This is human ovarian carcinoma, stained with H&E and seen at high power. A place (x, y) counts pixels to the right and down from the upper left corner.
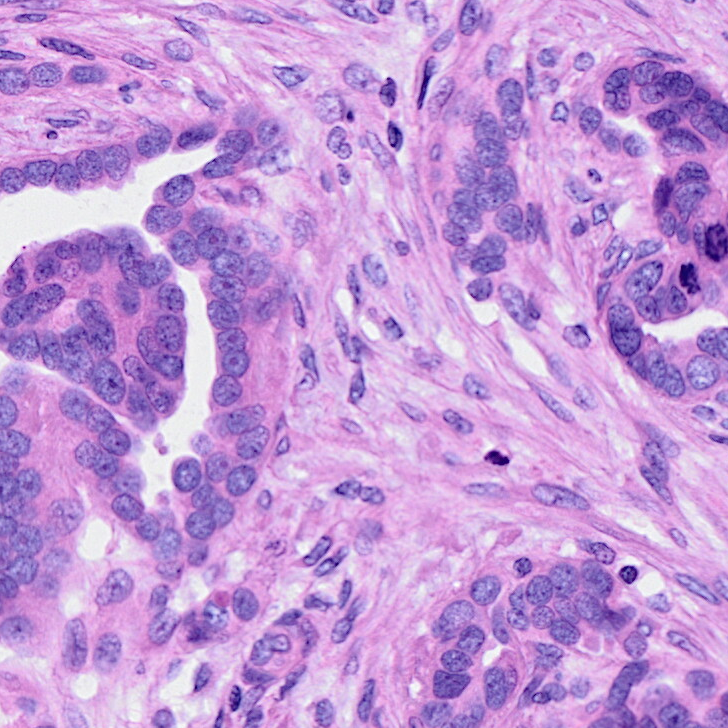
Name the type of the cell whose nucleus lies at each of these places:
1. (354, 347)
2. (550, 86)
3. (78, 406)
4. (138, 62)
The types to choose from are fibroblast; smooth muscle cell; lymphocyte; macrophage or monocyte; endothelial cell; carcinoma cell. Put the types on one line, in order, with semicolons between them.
fibroblast; fibroblast; carcinoma cell; fibroblast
